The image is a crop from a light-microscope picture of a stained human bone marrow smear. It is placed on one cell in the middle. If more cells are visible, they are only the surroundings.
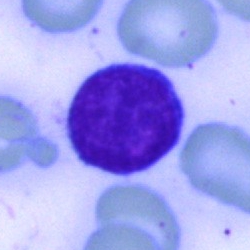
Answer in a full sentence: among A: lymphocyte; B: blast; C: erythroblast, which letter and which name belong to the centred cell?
In this crop the middle cell is a lymphocyte, so option A is the correct answer.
